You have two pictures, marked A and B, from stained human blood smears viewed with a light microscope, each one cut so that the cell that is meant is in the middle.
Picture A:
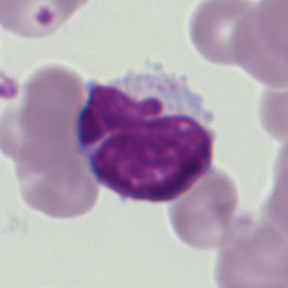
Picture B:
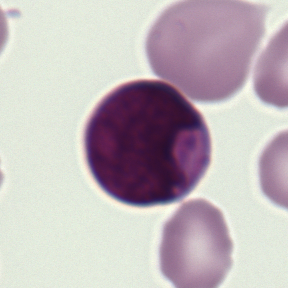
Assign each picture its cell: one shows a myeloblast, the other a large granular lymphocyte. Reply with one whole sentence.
The cell in picture A is a large granular lymphocyte, and the one in picture B is a myeloblast.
